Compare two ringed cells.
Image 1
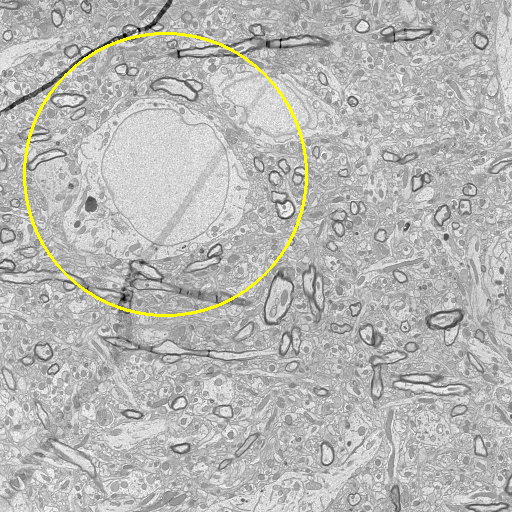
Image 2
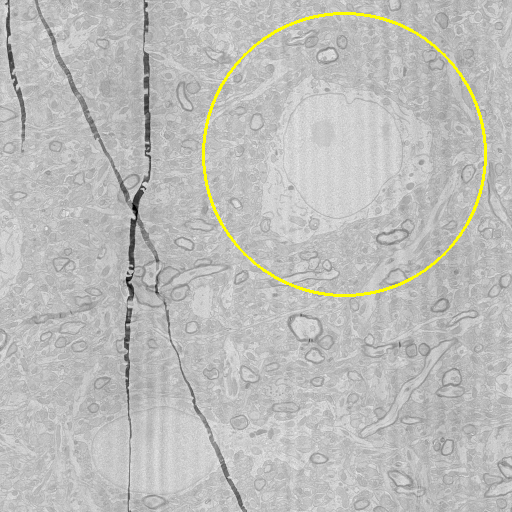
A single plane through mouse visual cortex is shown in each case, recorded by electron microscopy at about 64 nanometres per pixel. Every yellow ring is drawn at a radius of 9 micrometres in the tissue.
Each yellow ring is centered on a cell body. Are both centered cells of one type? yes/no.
yes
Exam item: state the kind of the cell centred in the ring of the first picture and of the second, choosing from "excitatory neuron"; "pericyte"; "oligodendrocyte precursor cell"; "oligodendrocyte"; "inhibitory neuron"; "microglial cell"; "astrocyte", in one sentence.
In the first picture and in the second, the ring is centred on an excitatory neuron.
